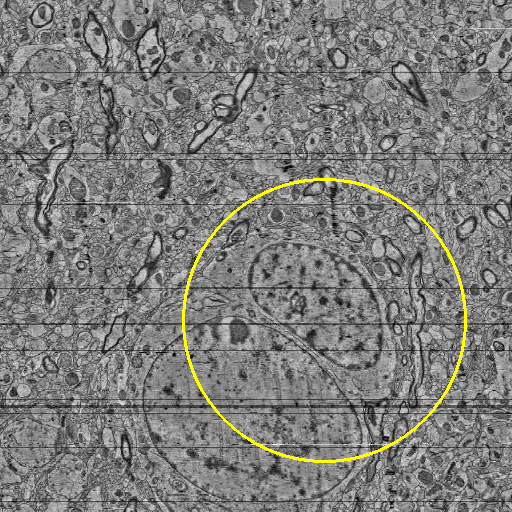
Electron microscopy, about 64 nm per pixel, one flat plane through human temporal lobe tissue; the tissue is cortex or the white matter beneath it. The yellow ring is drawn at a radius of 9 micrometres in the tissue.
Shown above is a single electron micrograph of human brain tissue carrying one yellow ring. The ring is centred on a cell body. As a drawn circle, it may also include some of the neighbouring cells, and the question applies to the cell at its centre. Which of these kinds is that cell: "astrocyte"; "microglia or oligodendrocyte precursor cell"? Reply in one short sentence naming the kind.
The cell marked by the ring is a microglial cell or oligodendrocyte precursor cell.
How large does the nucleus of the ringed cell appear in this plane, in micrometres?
In this plane the nucleus is clearly longer than it is wide, at approximately 10 by 6 micrometres.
